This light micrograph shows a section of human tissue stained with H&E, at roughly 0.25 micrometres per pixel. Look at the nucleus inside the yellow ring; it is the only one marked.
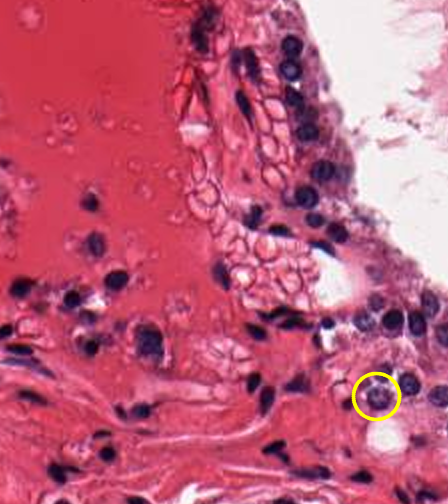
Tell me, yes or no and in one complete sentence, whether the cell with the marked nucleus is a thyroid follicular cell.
Yes, the nucleus that has been marked is that of a thyroid follicular cell.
